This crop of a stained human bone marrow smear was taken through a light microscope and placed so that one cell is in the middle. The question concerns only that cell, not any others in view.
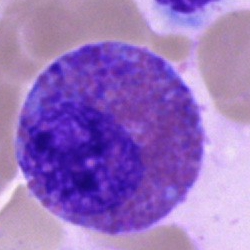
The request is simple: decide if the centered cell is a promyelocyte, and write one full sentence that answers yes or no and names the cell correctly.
No, the cell in the middle of the field is an eosinophil, not a promyelocyte as suggested.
